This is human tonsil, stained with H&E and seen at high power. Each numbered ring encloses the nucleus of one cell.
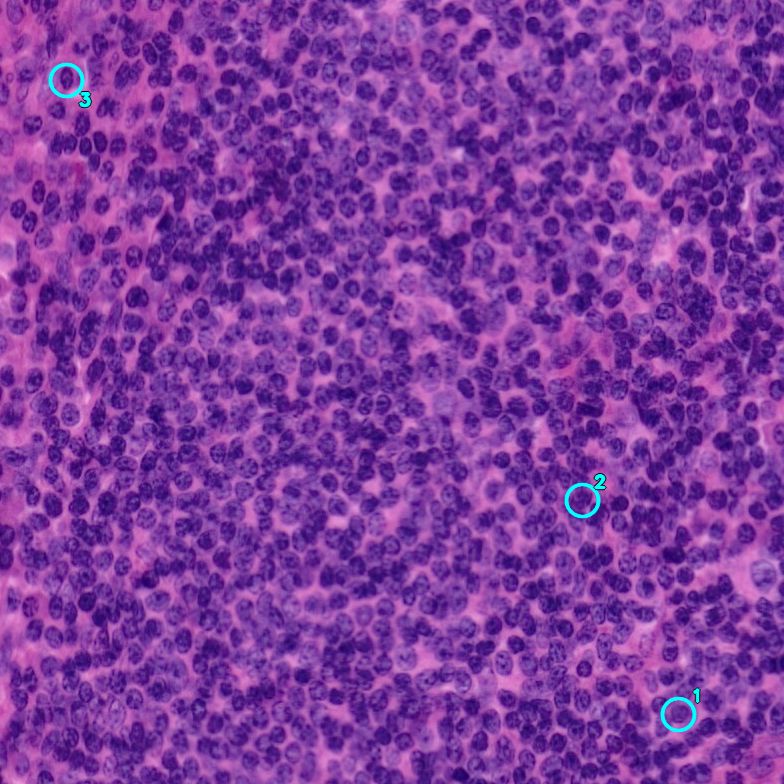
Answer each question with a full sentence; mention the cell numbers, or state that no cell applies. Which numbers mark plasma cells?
Across all the numbered cells, only number 3 is a plasma cell.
